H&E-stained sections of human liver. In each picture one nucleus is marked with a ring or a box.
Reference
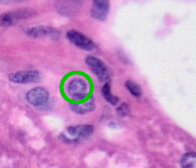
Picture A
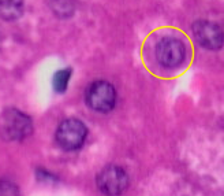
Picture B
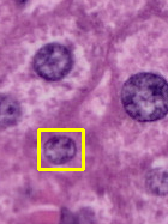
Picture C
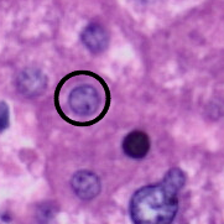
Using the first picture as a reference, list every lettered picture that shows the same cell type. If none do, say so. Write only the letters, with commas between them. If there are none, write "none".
none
